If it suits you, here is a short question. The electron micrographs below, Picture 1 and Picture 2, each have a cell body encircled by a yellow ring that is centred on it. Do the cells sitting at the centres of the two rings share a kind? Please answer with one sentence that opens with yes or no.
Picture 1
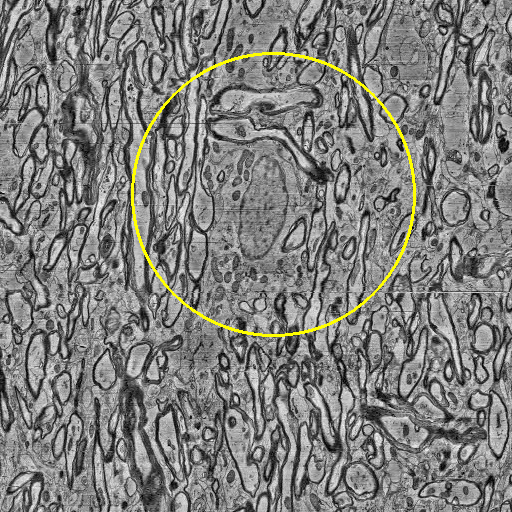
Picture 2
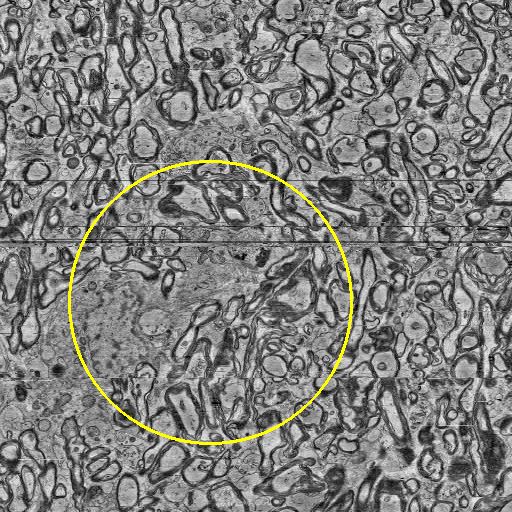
Yes, the two cells sitting at the ring centres share a single kind.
